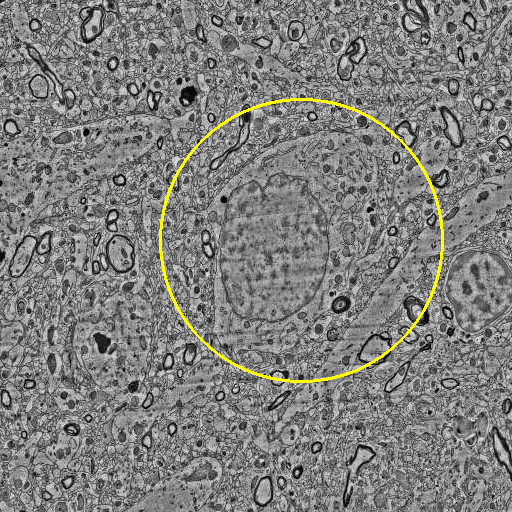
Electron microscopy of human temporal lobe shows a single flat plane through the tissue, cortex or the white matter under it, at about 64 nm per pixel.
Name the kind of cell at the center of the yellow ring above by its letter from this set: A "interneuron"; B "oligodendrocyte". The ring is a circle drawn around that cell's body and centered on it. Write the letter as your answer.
A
